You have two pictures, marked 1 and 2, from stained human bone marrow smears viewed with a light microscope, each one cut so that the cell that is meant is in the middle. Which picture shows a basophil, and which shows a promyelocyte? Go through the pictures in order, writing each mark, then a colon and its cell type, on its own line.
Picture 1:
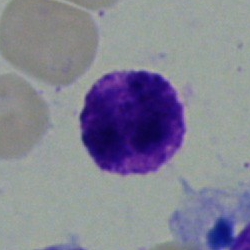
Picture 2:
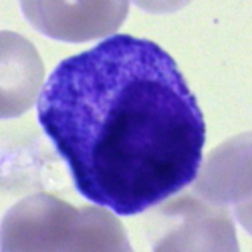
1: basophil
2: promyelocyte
